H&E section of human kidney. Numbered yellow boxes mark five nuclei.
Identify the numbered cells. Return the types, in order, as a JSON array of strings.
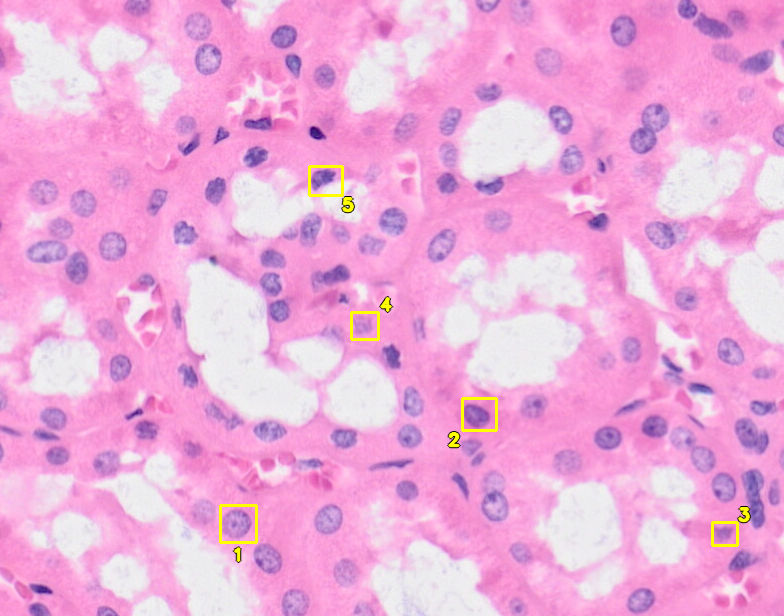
["proximal tubule cell", "proximal tubule cell", "proximal tubule cell", "loop of Henle or distal tubule cell", "loop of Henle or distal tubule cell"]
